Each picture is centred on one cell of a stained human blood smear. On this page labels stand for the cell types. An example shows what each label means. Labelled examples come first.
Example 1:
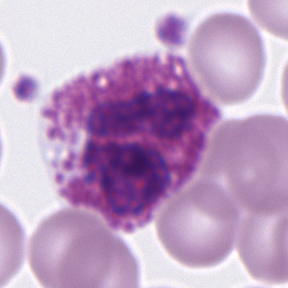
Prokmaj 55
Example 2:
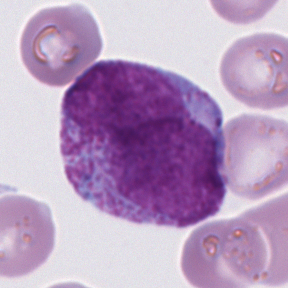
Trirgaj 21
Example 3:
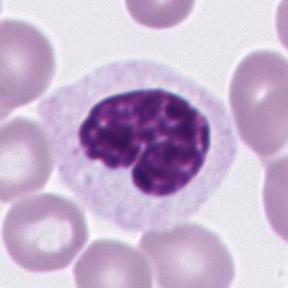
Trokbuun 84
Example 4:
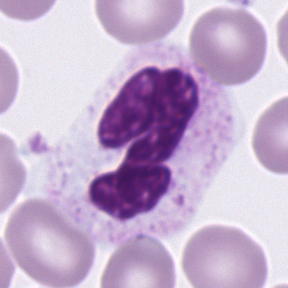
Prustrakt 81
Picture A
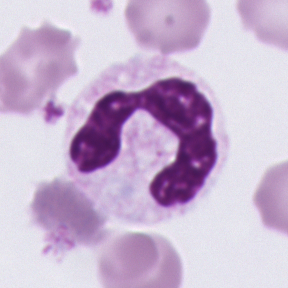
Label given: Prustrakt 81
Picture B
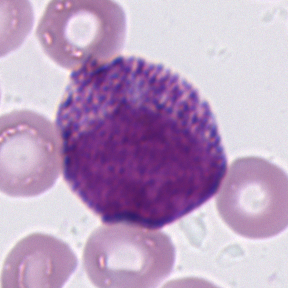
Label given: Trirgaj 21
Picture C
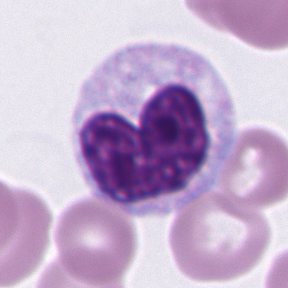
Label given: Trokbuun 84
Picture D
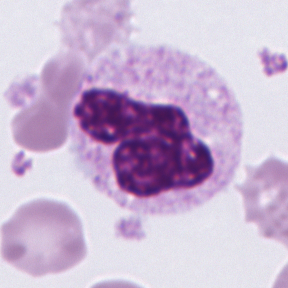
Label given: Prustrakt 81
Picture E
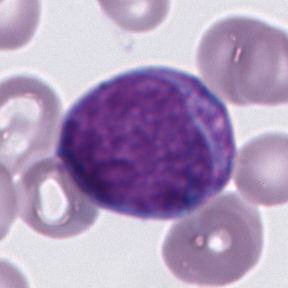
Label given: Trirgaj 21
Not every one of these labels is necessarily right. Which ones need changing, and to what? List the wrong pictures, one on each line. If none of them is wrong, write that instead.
None of the labels needs changing.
